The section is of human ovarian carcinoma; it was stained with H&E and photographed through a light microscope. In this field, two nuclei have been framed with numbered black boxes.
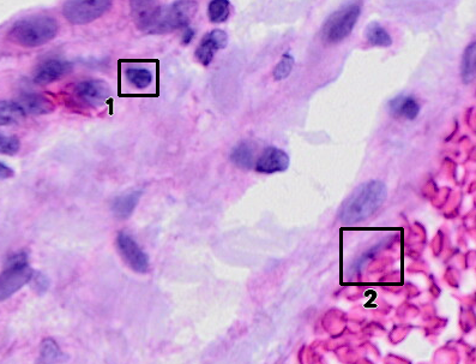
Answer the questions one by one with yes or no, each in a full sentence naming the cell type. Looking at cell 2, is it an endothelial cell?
Yes, the one numbered 2 is an endothelial cell.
